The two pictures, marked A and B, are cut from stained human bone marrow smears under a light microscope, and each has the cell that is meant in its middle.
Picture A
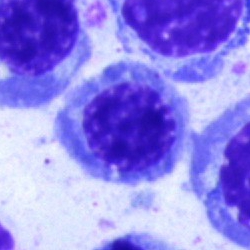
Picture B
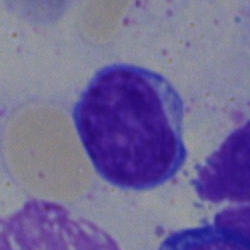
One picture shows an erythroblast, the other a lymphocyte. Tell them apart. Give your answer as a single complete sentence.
Picture B shows a lymphocyte, while picture A shows an erythroblast.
